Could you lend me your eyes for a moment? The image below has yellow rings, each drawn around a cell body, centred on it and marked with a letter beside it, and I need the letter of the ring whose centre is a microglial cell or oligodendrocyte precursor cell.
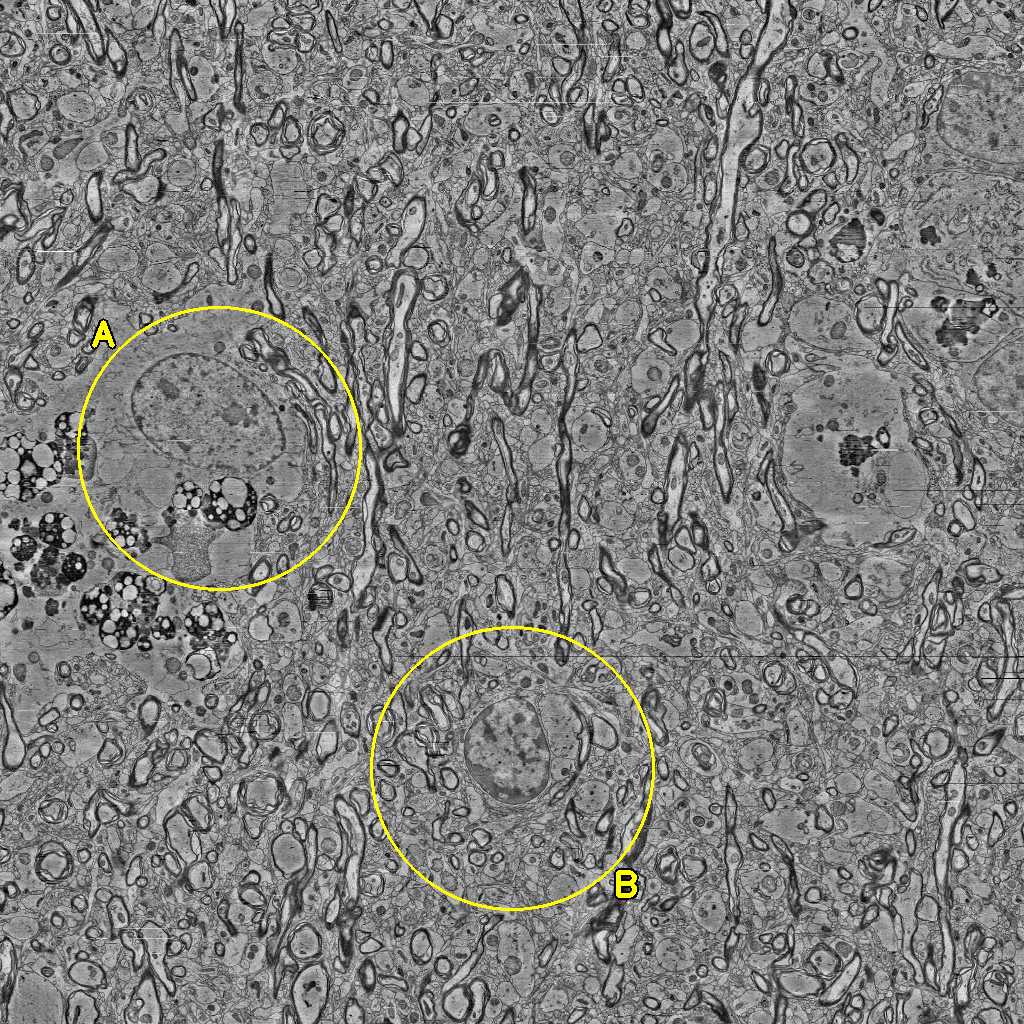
B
